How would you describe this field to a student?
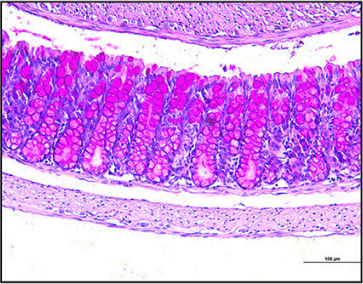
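This is the lining of the colon, cut so that its straight tubular crypts stand side by side like a palisade. Along every crypt, from base to surface, sit goblet cells: rounded, swollen cups filled with bright magenta mucus, so many that they crowd the epithelium. Below the crypts runs a thin layer of pink connective tissue and then the smooth muscle coats, with their elongated nuclei, and above the surface lies the empty lumen. There are no villi here, which tells you this is large bowel.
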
